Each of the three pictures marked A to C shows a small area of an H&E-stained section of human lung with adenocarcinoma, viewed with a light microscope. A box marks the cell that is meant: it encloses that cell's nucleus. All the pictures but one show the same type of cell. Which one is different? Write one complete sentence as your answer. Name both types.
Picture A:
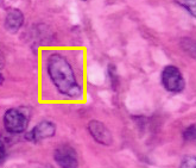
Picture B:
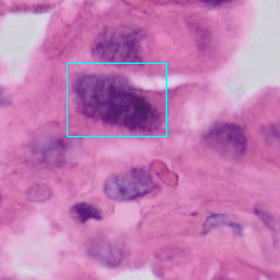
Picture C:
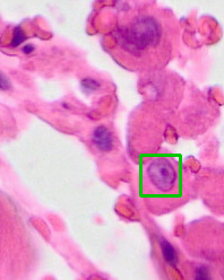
The others show “macrophages or monocytes”, but picture B shows a carcinoma cell.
